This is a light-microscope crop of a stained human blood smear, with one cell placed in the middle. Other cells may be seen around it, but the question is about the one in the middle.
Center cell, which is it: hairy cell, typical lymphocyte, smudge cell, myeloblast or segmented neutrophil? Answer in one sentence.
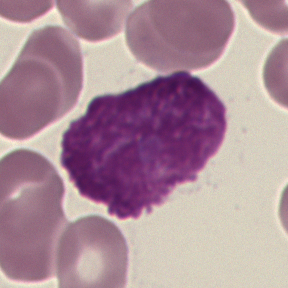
Centrally within this crop lies a smudge cell.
